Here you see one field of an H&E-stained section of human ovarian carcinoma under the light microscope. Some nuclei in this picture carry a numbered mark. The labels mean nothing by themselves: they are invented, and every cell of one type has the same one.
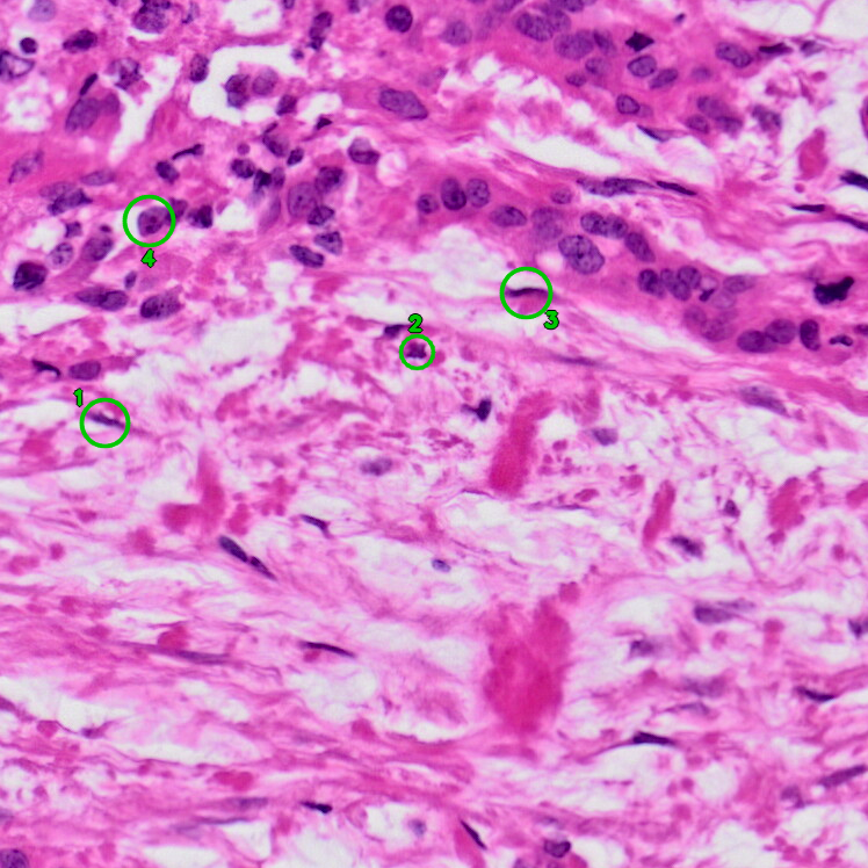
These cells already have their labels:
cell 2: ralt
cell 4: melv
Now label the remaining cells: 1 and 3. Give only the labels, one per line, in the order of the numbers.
ralt
ralt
